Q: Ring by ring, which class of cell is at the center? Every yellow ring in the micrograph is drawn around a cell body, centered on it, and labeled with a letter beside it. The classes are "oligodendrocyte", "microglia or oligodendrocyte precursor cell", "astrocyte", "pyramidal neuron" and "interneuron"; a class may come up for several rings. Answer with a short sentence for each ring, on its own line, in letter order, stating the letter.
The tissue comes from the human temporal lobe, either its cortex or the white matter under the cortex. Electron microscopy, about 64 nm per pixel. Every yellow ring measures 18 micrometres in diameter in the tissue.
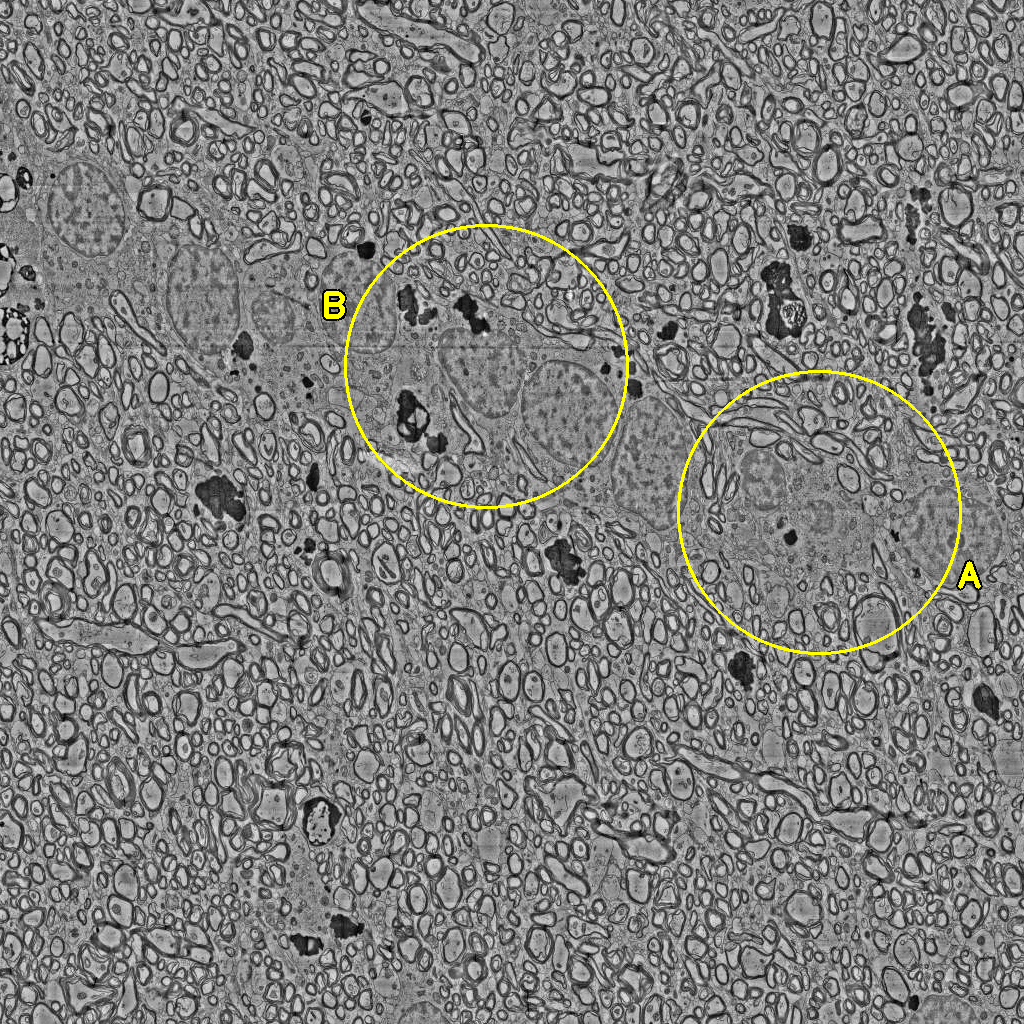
Ring A holds an oligodendrocyte at its center.
Ring B holds an oligodendrocyte at its center.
